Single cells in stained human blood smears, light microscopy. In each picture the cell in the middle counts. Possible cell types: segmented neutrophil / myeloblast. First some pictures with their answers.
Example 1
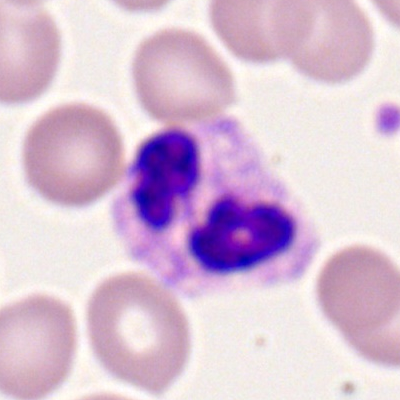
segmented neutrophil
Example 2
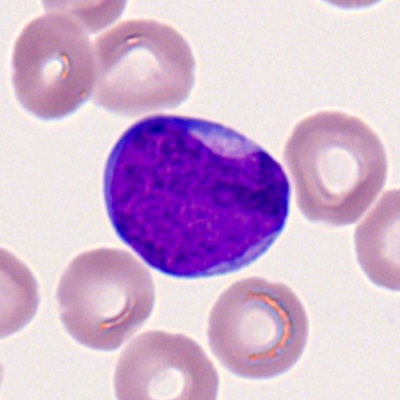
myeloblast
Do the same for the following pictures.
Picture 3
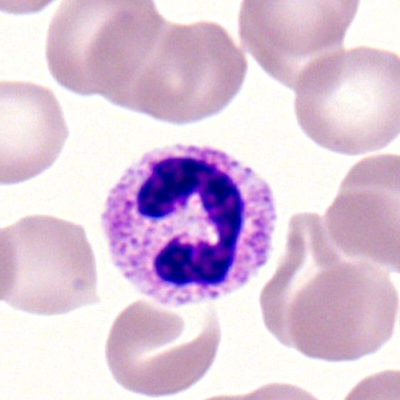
segmented neutrophil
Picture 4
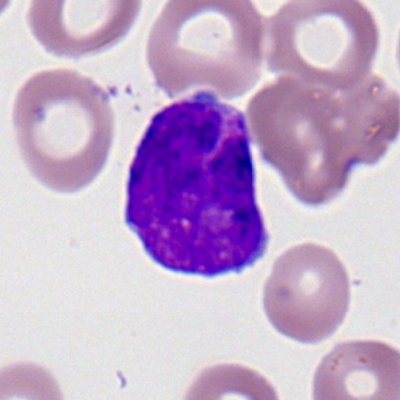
myeloblast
